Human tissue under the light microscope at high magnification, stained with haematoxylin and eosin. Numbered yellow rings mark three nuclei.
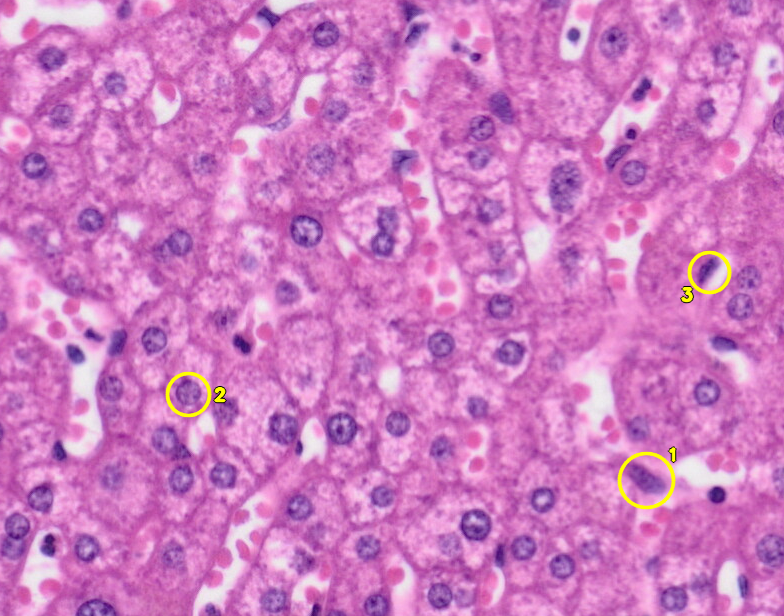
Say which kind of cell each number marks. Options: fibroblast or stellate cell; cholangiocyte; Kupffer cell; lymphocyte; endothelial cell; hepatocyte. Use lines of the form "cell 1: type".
cell 1: Kupffer cell
cell 2: hepatocyte
cell 3: Kupffer cell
